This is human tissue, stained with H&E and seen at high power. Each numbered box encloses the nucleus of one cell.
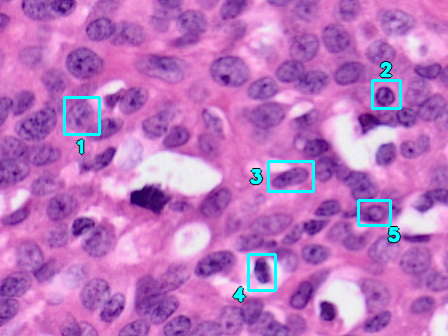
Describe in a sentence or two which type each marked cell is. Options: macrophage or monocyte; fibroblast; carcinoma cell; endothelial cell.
Cells 1, 4 and 5 are carcinoma cells. Cells 2 and 3 are macrophages or monocytes.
